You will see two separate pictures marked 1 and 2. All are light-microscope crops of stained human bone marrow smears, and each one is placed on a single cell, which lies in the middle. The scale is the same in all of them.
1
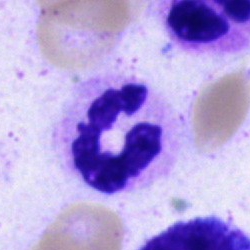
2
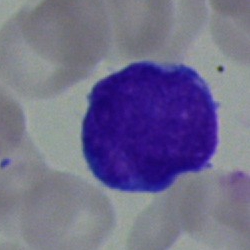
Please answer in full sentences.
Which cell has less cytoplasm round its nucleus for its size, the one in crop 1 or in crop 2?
In crop 2 the nucleus takes up the larger part of its cell.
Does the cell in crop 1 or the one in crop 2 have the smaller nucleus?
Smaller is the nucleus in crop 1, and the other is about 2.5 times as large in area.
